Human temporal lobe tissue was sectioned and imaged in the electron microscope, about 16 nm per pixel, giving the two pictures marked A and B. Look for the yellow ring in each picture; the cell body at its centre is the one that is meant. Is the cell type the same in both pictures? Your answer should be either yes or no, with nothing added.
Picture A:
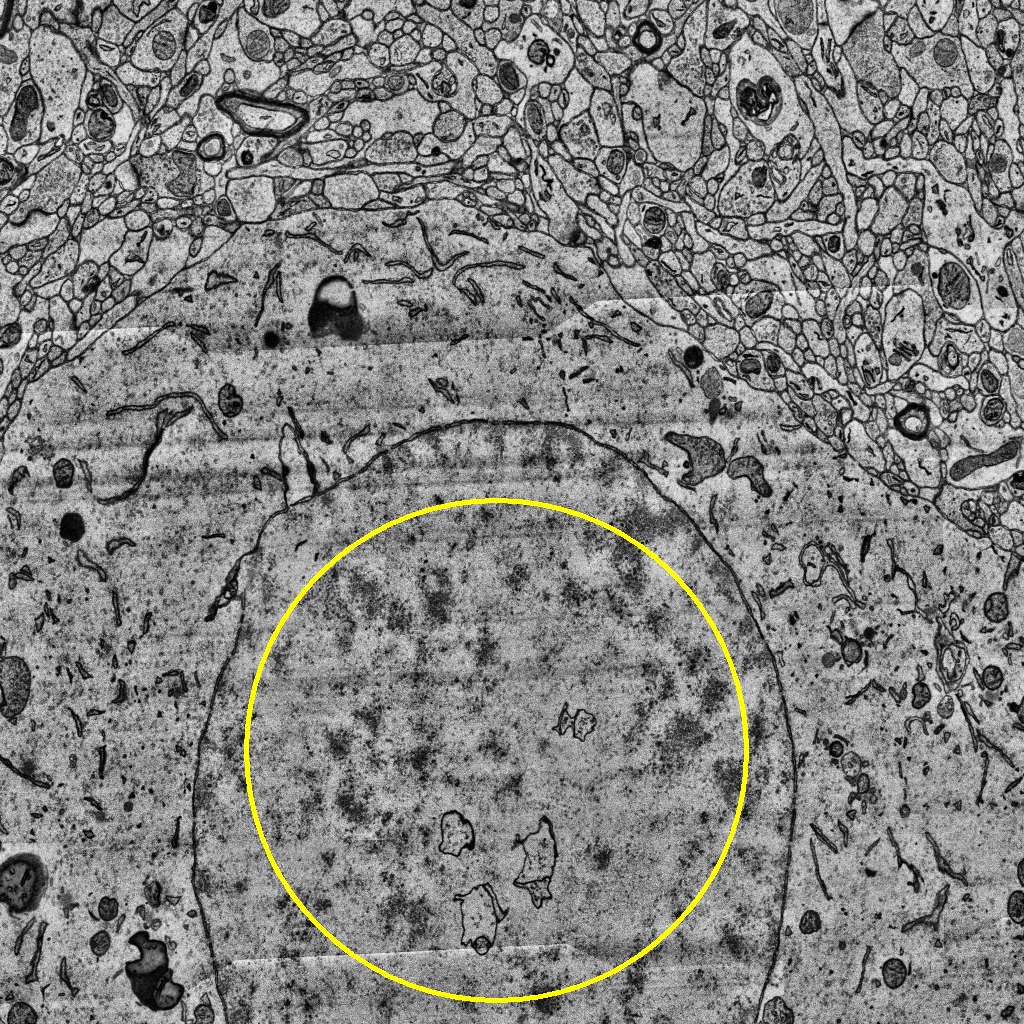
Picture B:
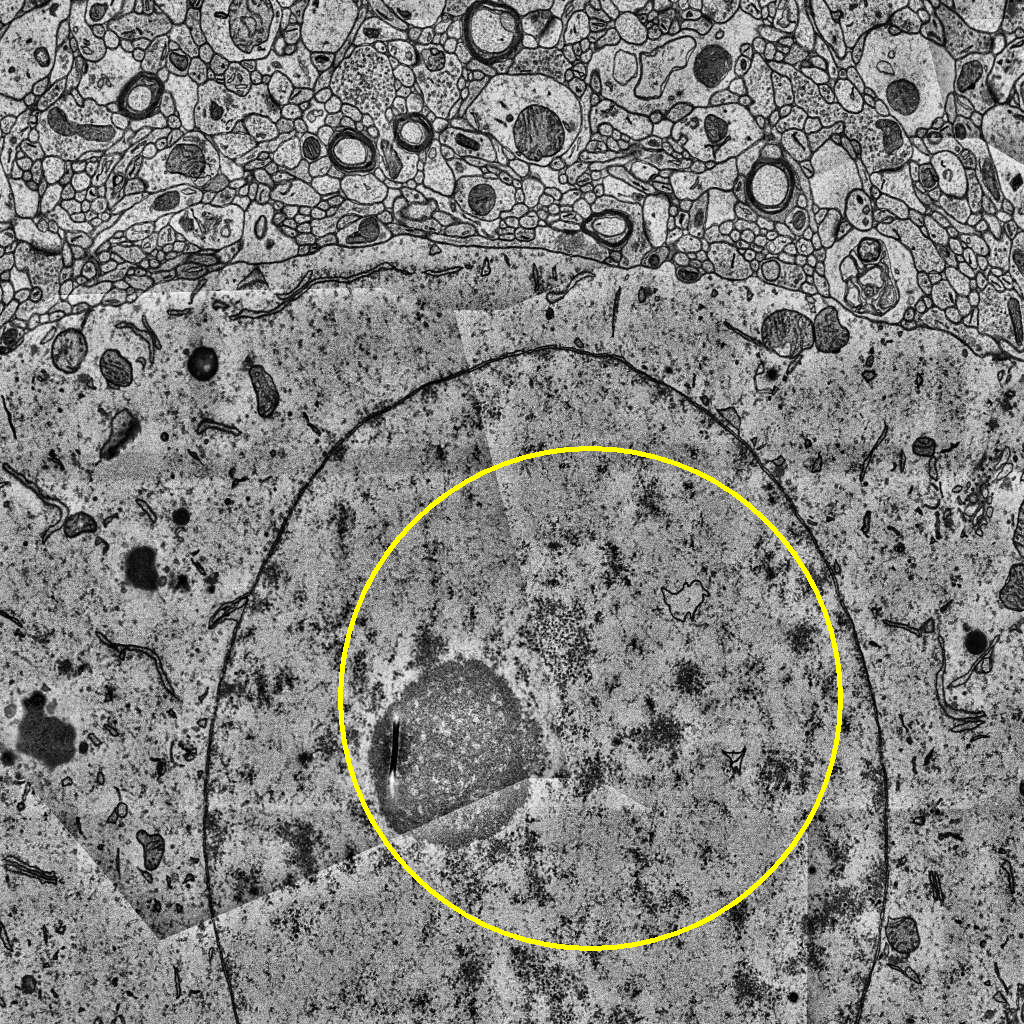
yes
